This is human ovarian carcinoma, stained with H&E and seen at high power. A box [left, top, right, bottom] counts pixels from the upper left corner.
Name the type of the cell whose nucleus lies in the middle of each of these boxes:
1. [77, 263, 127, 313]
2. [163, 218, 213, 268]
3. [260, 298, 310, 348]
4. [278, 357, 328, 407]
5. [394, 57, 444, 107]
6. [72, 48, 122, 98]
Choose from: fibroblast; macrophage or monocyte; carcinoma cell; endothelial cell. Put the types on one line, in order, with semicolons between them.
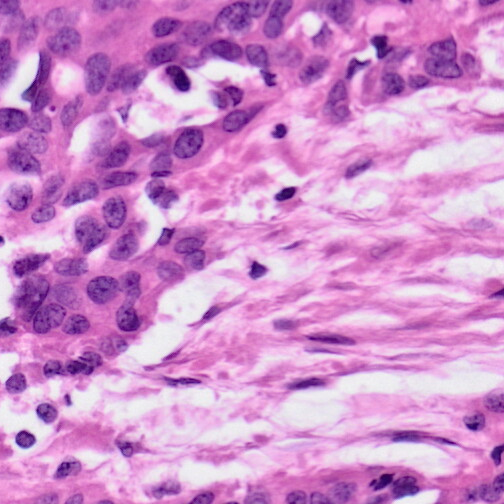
carcinoma cell; carcinoma cell; fibroblast; fibroblast; carcinoma cell; carcinoma cell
